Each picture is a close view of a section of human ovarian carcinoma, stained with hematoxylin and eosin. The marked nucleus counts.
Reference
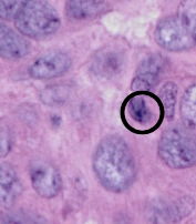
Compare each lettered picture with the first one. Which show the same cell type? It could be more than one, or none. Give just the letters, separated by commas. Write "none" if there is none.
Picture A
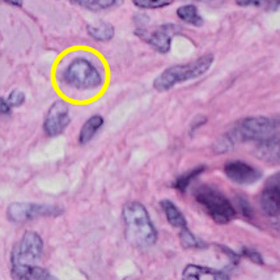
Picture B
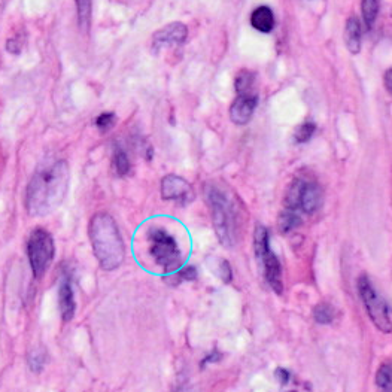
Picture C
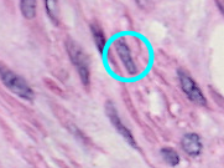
B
